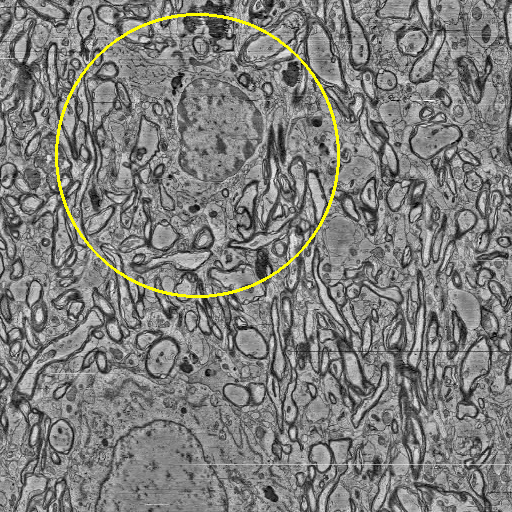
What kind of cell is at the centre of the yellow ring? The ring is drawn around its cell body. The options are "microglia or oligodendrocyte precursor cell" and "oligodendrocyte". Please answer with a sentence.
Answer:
The yellow ring marks the cell body of a microglial cell or oligodendrocyte precursor cell.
